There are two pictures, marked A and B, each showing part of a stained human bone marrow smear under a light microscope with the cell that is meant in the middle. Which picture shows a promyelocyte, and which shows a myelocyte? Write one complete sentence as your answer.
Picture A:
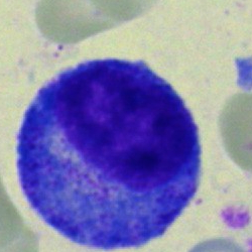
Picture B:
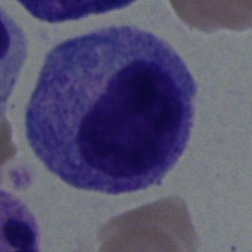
It is picture A that shows a promyelocyte, and picture B that shows a myelocyte.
